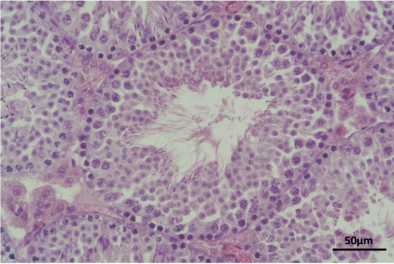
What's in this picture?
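This is a cross-section of a seminiferous tubule of the testis stained pink and purple. A multilayered germ cell epithelium surrounds the lumen, with flattened and small dark nuclei at the periphery and many large round nuclei in the middle layers. Toward the lumen smaller cells are densely packed, and pale fibrillar flagella gather in a star-shaped central lumen. Adjacent tubules and thin strips of interstitial tissue with elongated nuclei surround it. The layering of the epithelium looks complete and regular.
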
